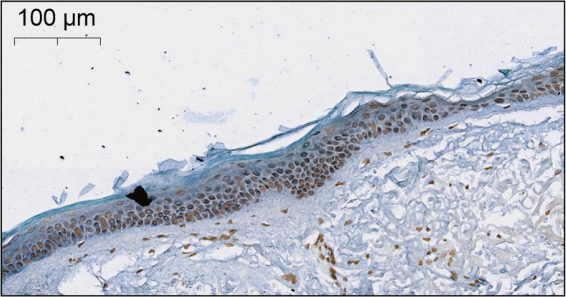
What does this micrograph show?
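A thin band of stratified squamous epithelium runs diagonally across the field. It is capped by a blue-green layer of flattened keratin. Underneath lies a pale, loose, fibrous connective tissue. Within the epithelium the cells are packed in several layers. Most of their nuclei are stained brown, and the cytoplasm is also faintly brownish. In the connective tissue below, scattered spindle-shaped and elongated nuclei are also brown. The area above the keratin is empty background with a few small dark particles.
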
